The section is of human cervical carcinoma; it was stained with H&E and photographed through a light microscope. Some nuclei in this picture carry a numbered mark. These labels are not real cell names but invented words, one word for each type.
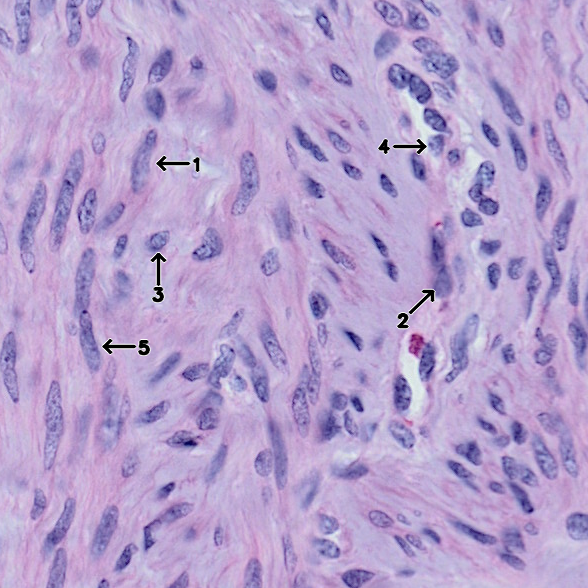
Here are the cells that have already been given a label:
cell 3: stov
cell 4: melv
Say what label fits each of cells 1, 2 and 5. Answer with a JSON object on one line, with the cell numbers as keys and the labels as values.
{"1": "stov", "2": "melv", "5": "stov"}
